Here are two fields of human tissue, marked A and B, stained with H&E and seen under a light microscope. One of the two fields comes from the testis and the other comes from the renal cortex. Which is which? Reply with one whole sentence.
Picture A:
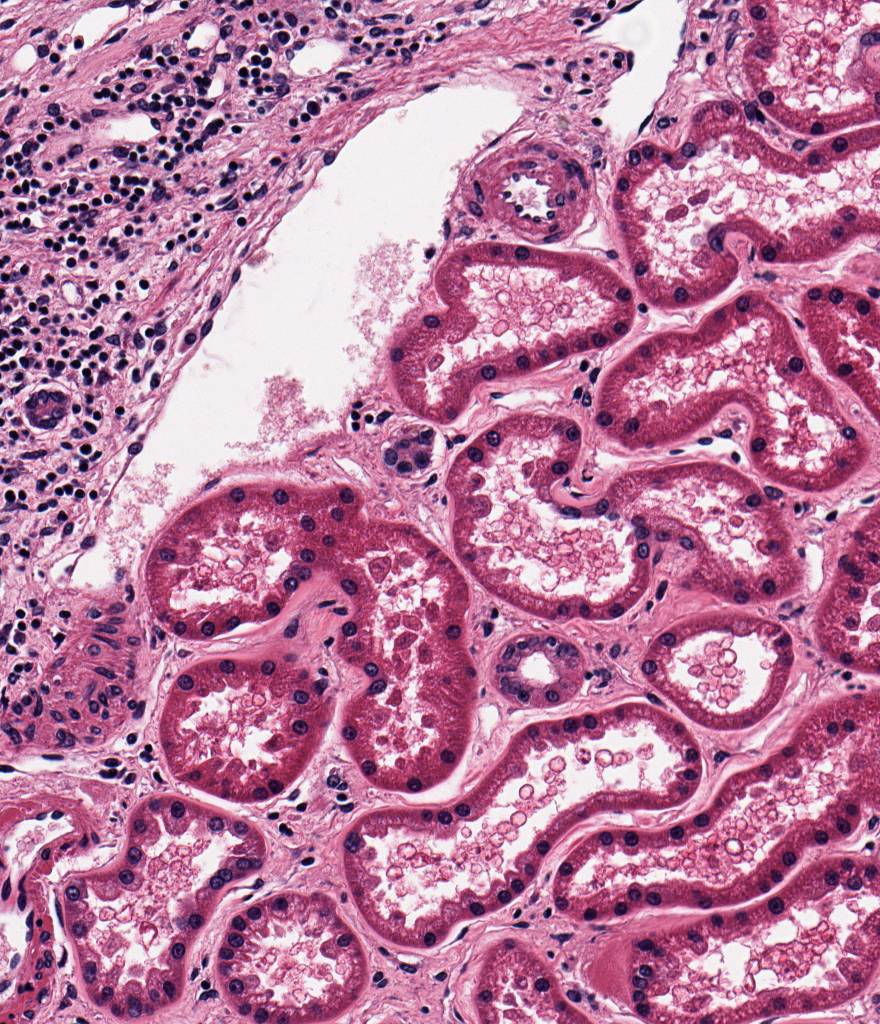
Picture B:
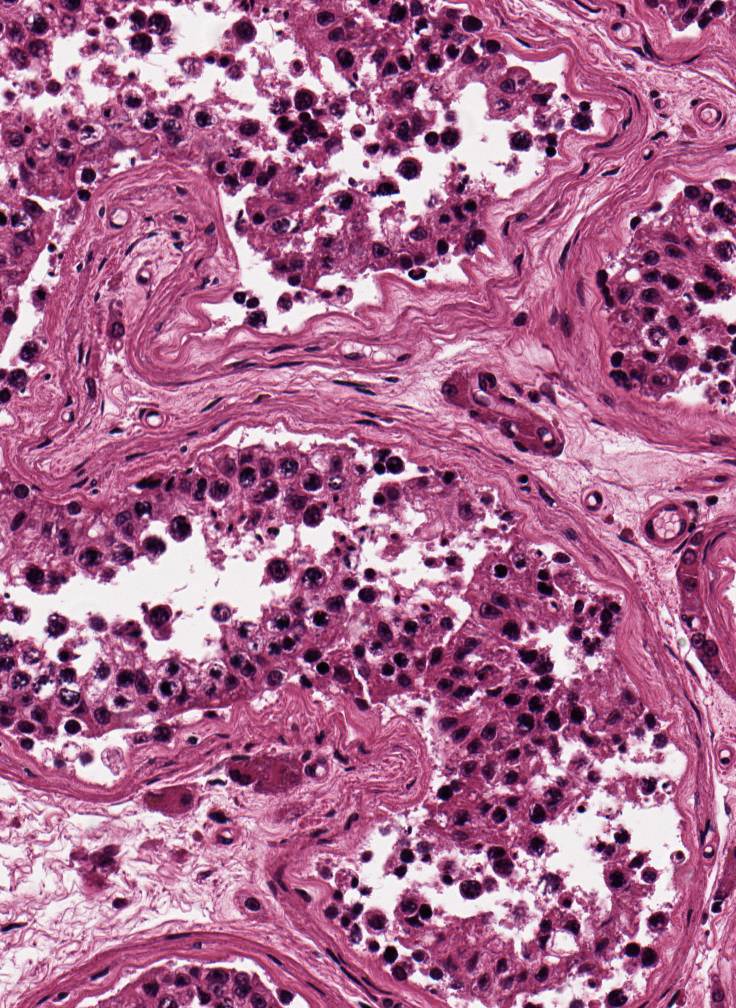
It is picture A that comes from the renal cortex, and picture B that comes from the testis.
